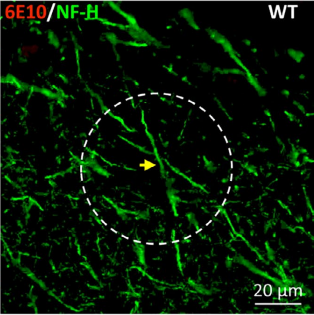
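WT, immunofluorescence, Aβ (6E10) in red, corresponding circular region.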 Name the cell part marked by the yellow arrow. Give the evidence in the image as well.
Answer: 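Axons. The arrow points to a thin green fibre. Many long green fibres criss-cross the field.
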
